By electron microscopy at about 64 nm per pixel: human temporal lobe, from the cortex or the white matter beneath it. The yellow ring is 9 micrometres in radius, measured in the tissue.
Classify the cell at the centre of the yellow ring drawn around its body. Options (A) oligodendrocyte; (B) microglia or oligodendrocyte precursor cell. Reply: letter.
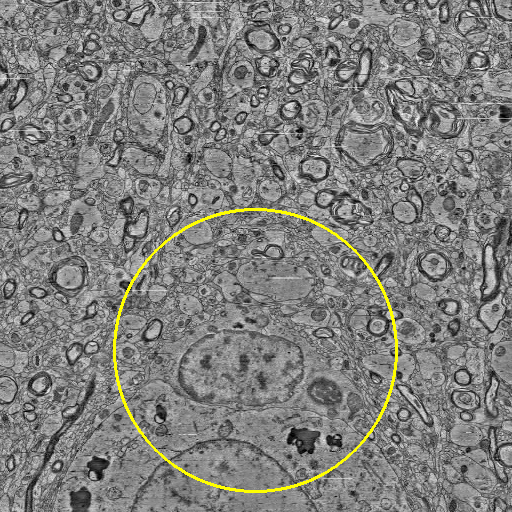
A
